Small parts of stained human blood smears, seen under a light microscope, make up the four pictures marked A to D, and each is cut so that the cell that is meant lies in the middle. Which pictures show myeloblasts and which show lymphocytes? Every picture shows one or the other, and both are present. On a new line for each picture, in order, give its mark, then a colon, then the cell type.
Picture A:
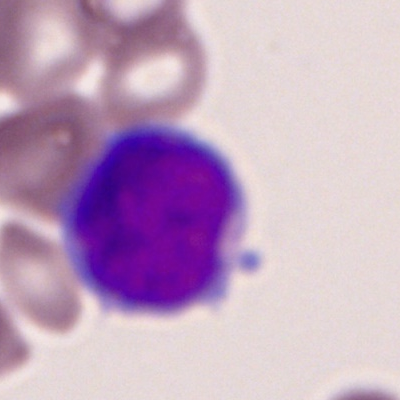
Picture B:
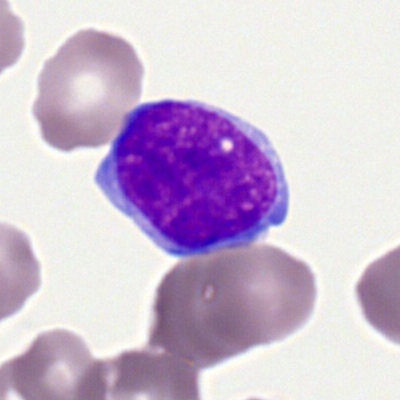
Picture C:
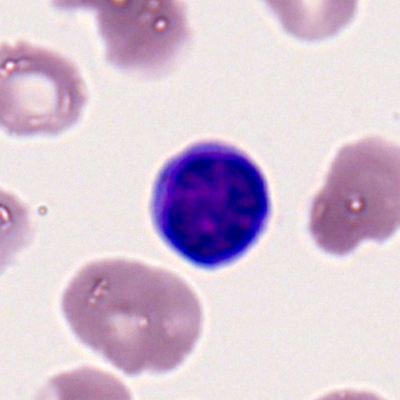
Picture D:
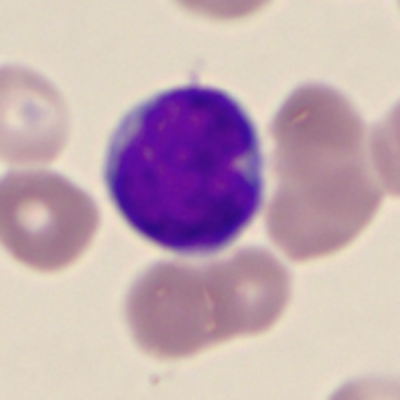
A: myeloblast
B: myeloblast
C: lymphocyte
D: myeloblast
